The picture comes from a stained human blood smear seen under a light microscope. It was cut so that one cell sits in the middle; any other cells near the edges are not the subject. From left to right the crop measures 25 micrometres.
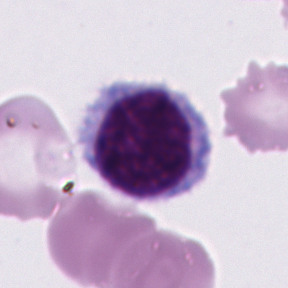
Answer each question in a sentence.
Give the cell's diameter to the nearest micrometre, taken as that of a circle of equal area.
It measures about 11 micrometres across.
